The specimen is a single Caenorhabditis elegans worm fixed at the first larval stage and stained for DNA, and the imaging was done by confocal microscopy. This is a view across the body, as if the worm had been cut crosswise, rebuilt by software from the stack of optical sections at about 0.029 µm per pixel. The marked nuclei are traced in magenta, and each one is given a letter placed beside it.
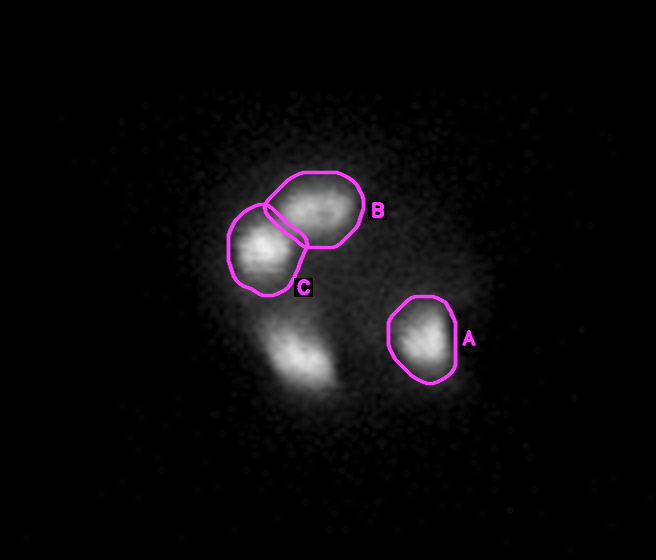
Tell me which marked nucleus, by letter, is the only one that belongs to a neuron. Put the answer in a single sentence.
C is from a neuron.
